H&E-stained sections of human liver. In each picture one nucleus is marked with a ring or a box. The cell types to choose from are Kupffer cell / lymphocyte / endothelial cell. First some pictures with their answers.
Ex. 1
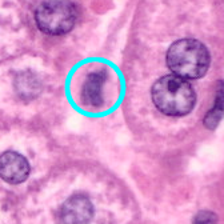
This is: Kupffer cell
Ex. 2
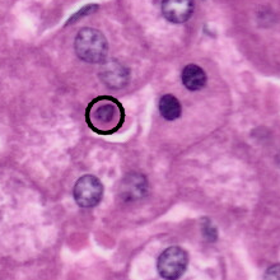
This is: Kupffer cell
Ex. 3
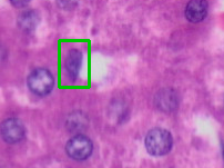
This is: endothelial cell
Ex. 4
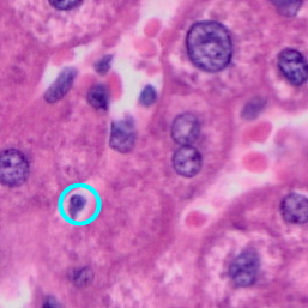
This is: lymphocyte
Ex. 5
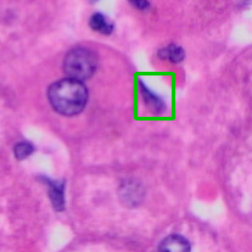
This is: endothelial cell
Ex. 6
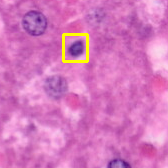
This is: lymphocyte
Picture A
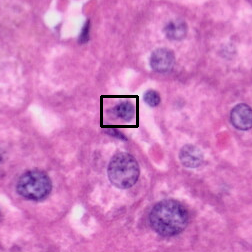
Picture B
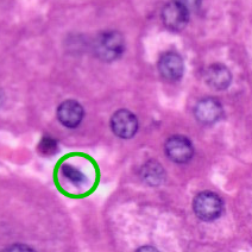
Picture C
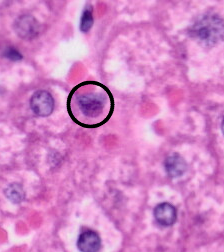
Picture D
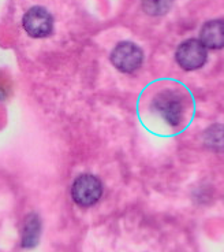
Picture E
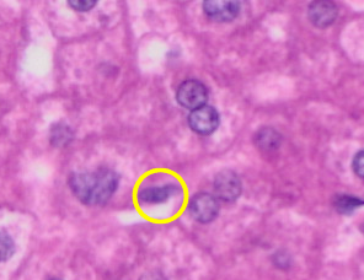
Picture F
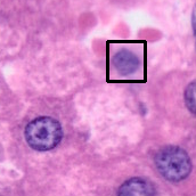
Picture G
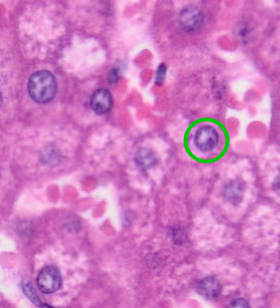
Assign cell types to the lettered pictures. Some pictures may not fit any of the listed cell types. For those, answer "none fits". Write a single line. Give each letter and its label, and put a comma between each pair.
A Kupffer cell, B lymphocyte, C endothelial cell, D endothelial cell, E Kupffer cell, F Kupffer cell, G none fits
